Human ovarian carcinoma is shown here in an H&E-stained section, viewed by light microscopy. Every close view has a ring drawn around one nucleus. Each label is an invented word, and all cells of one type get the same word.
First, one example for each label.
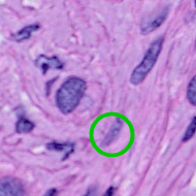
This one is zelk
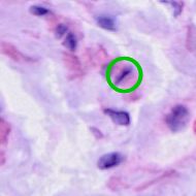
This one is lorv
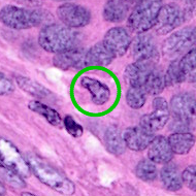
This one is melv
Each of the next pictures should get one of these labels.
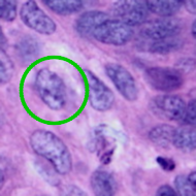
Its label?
zelk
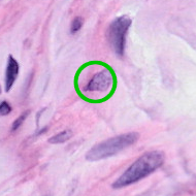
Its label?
lorv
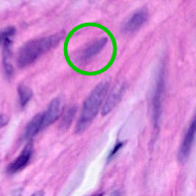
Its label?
lorv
